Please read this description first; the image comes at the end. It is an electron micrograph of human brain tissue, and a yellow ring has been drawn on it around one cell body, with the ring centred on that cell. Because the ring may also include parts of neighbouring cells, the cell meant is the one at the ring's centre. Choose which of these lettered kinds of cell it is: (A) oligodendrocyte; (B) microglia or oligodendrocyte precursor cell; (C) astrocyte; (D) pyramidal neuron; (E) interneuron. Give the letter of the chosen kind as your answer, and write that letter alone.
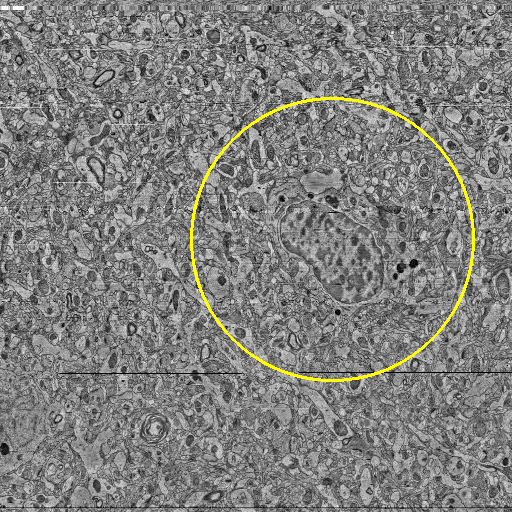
B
